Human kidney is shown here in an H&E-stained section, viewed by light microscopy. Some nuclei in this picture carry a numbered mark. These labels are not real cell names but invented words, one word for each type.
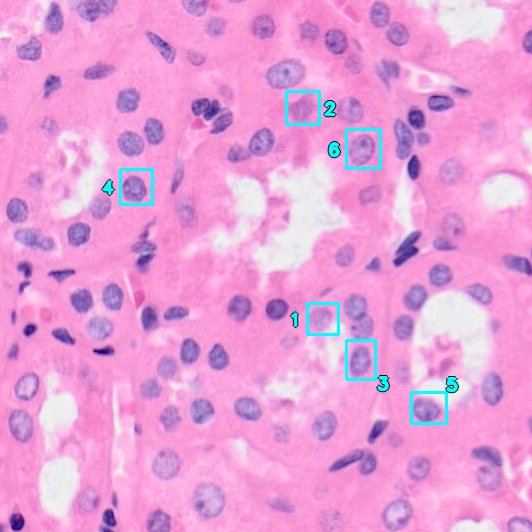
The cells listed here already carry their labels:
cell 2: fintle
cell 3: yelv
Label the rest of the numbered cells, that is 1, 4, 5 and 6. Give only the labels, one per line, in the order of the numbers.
yelv
yelv
yelv
fintle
